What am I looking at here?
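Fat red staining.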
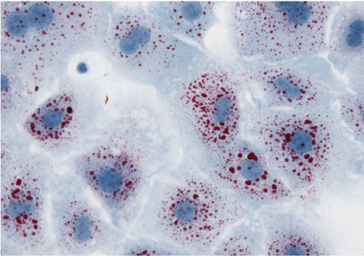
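Isolated liver cells, hepatocytes, are seen as large polygonal cells with pale blue cytoplasm and well-defined borders against a light background. Each has a round, centrally placed blue nucleus, and several cells carry two nuclei. The cytoplasm of most cells holds many small red droplets, clustered densely around the nucleus and thinning toward the cell edge; a few droplets are larger and darker red. The droplets vary in size from fine dots to small globules.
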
